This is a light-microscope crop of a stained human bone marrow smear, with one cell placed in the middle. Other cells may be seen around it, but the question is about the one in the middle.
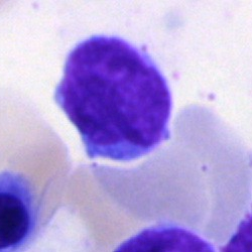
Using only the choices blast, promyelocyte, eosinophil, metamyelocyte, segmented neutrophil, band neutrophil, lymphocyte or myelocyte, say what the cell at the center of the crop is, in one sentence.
Present in the middle of the crop is a blast.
